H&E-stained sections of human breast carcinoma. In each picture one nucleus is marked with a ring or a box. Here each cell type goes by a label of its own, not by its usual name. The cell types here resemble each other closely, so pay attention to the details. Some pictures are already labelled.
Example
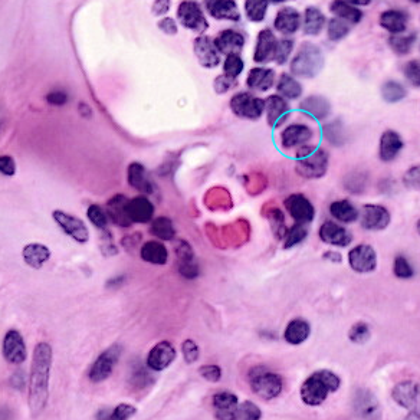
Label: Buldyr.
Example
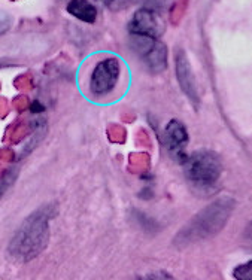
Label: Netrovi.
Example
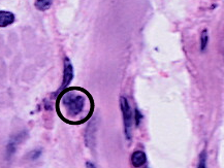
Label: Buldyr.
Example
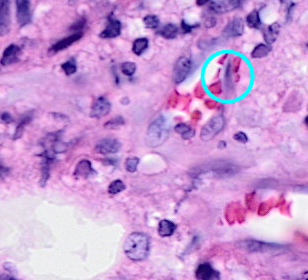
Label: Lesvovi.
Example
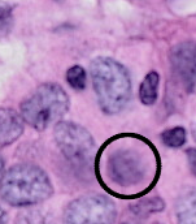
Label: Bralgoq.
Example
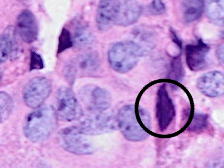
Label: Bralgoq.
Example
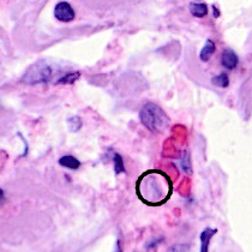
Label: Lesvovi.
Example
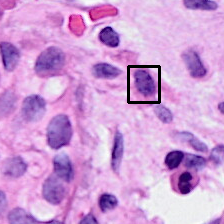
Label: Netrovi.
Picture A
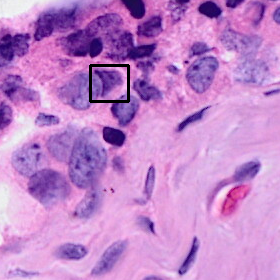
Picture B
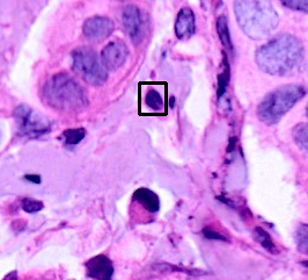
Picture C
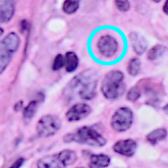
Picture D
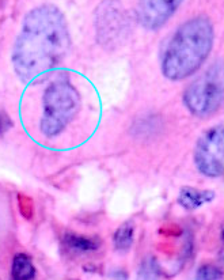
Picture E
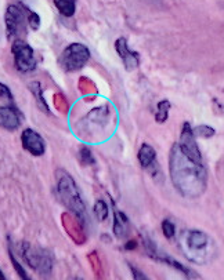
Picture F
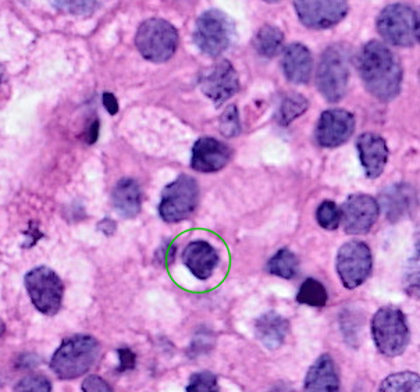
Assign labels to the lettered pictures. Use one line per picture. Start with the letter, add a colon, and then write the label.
A: Bralgoq.
B: Netrovi.
C: Netrovi.
D: Bralgoq.
E: Lesvovi.
F: Bralgoq.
